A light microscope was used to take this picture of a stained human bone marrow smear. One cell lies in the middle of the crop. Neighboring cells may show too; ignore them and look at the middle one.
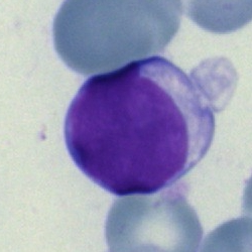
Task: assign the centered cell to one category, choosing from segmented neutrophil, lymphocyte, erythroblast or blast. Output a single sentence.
Positioned in the middle of the crop is a lymphocyte.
